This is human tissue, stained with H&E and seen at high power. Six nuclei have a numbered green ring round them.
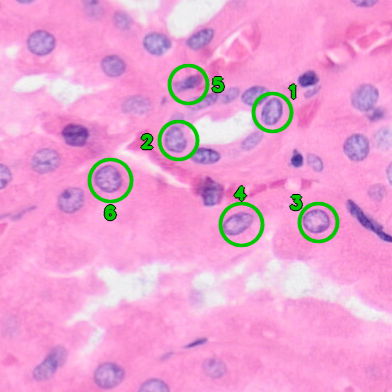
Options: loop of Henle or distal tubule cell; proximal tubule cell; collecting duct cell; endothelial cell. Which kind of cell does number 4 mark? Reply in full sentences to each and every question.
The expected answer is that cell 4 is a proximal tubule cell.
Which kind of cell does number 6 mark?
The cell pointed out as number 6 is a proximal tubule cell.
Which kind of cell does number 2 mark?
What the number 2 marks in this field is a collecting duct cell.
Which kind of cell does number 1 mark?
To a collecting duct cell belongs the nucleus marked 1.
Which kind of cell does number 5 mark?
Numbered cell 5 is an endothelial cell in this tissue section.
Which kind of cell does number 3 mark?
The cell pointed out by number 3 is a proximal tubule cell.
